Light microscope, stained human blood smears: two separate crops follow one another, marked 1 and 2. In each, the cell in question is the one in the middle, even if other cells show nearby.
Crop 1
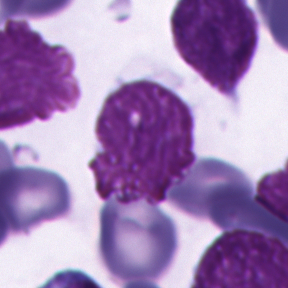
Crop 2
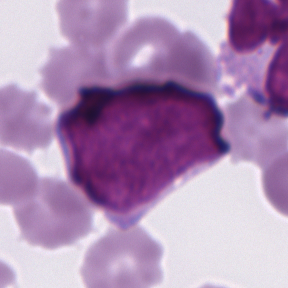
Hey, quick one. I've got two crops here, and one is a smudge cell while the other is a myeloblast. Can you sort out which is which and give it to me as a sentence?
Classification: crop 1 is a smudge cell, crop 2 is a myeloblast.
